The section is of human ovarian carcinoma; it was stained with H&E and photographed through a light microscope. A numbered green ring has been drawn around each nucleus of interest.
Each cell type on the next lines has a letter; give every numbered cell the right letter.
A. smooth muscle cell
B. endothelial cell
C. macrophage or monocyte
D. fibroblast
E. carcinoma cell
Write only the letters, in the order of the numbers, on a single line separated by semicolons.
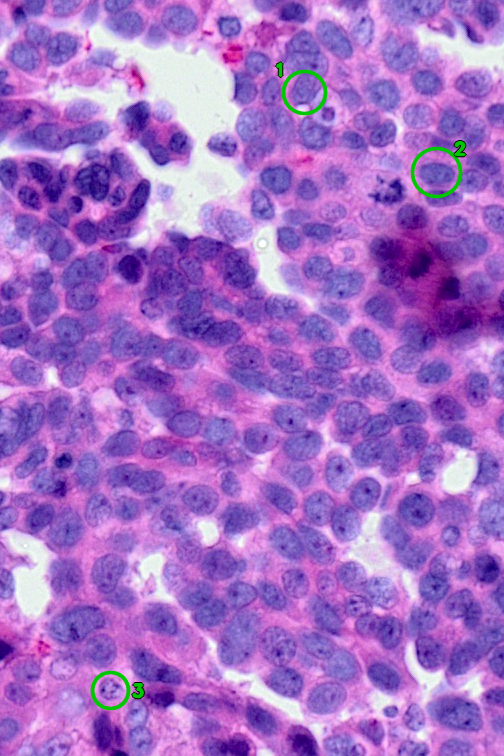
E; E; C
